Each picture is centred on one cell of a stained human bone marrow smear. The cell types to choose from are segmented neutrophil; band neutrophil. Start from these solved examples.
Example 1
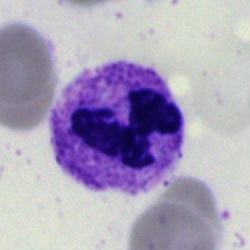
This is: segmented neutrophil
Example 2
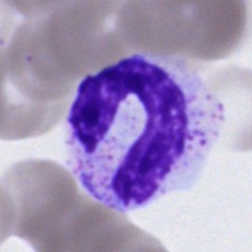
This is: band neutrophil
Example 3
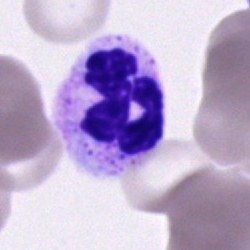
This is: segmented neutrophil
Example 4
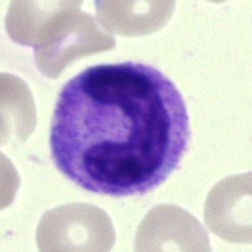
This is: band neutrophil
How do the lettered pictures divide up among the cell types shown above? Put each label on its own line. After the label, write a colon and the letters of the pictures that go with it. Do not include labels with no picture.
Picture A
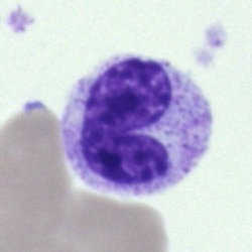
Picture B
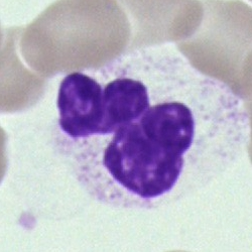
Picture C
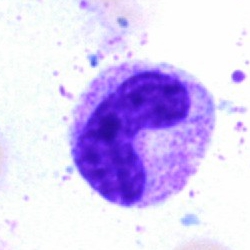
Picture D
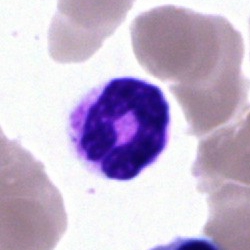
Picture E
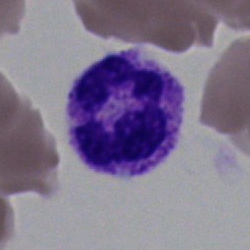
segmented neutrophil: B, D, E
band neutrophil: A, C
